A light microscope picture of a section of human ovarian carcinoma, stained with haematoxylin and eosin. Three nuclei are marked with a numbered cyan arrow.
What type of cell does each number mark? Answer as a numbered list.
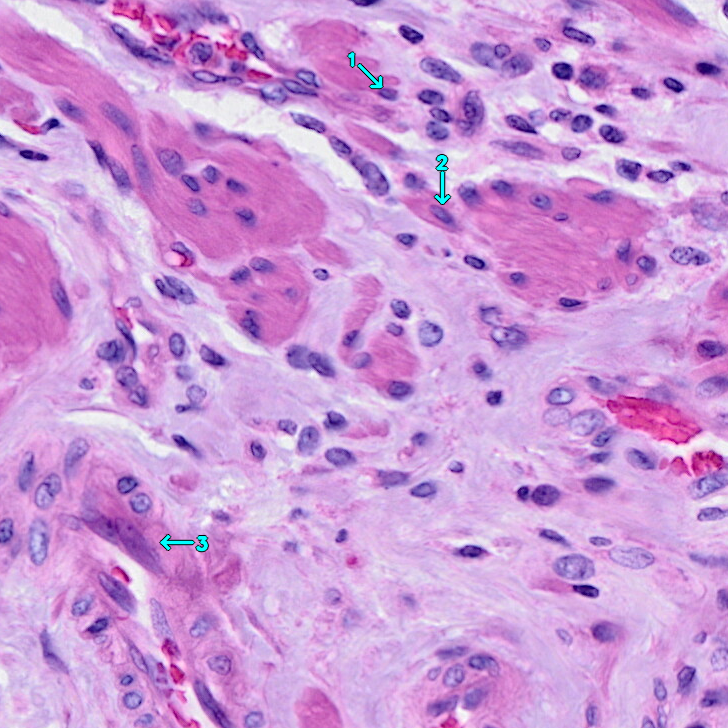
1. smooth muscle cell
2. smooth muscle cell
3. endothelial cell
